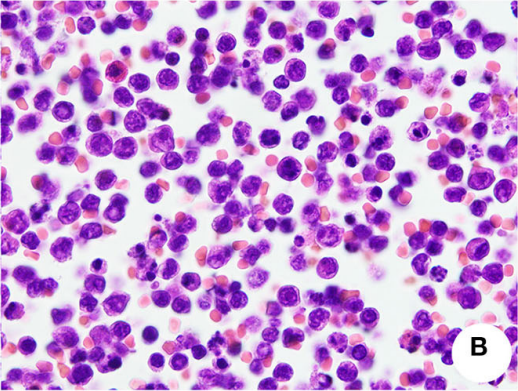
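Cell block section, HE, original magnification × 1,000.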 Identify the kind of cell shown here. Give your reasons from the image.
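Medium atypical lymphocytes. Discohesive, fairly uniform round cells lying singly. Round to oval dark purple nuclei taking up most of each cell. Scant rim of cytoplasm. Pink red blood cells scattered between them.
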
